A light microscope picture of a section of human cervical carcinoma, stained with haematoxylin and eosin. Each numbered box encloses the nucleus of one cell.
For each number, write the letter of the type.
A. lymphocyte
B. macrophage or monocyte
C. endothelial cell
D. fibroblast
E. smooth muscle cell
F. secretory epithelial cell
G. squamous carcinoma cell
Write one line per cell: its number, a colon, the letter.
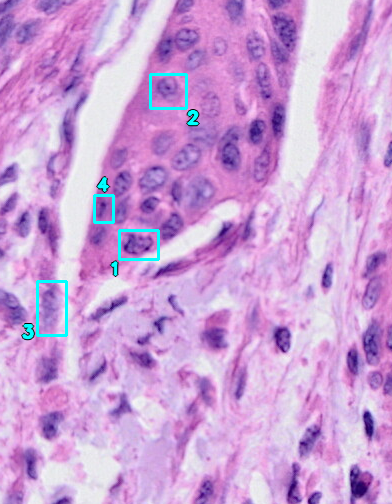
1: G
2: G
3: D
4: G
